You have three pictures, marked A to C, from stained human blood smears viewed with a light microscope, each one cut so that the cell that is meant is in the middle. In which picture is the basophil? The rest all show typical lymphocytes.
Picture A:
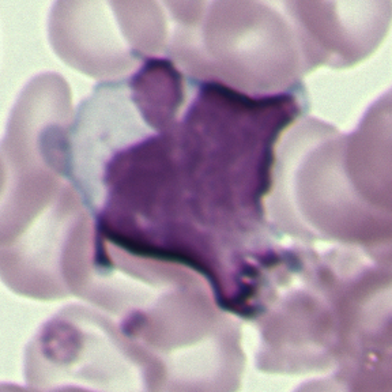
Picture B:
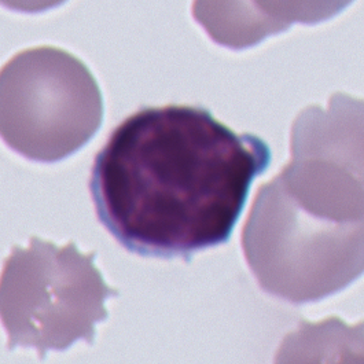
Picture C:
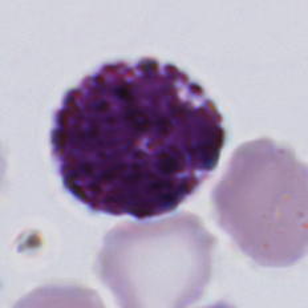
C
